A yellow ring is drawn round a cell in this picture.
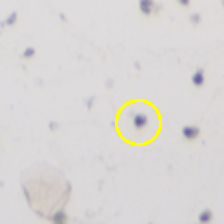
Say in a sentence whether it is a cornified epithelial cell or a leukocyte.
The cell in the ring is a leukocyte.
